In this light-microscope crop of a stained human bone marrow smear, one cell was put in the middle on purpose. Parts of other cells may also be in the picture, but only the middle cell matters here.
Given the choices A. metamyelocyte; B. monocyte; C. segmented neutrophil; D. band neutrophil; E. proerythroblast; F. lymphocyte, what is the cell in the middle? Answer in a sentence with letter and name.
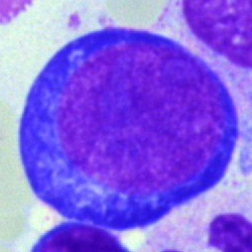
Option E is the right choice, the central cell being a proerythroblast.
